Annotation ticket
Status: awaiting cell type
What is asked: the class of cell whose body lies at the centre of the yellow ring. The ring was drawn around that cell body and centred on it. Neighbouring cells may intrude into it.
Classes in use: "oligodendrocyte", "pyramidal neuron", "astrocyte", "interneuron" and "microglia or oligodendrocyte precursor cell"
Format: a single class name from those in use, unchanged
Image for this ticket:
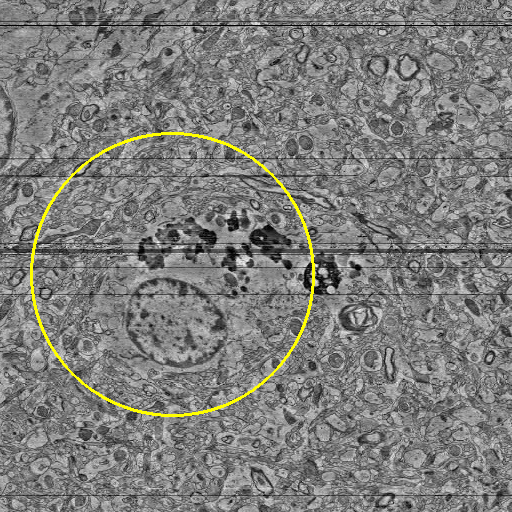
astrocyte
